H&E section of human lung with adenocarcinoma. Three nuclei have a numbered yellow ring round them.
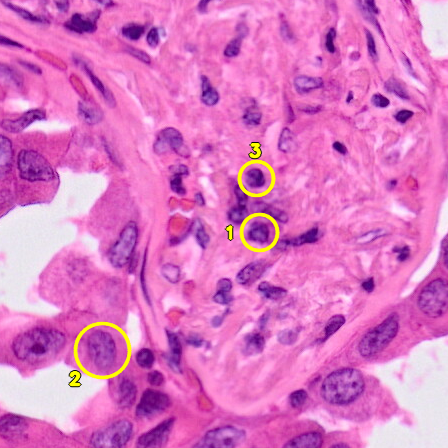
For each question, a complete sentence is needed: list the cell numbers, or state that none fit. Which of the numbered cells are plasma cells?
Cell 1 is the single numbered cell that is a plasma cell.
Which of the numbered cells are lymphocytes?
Of the cells carrying numbers, just cell 3 is a lymphocyte.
